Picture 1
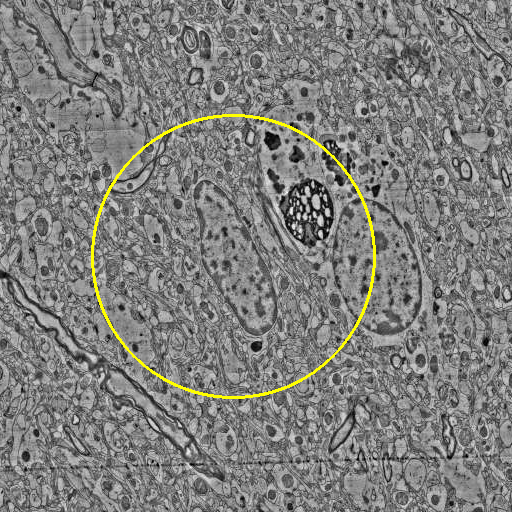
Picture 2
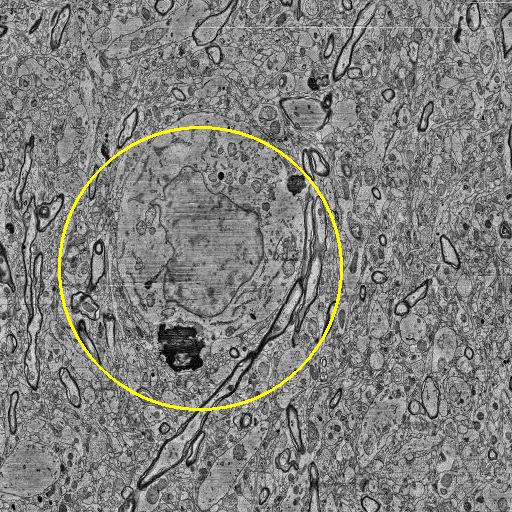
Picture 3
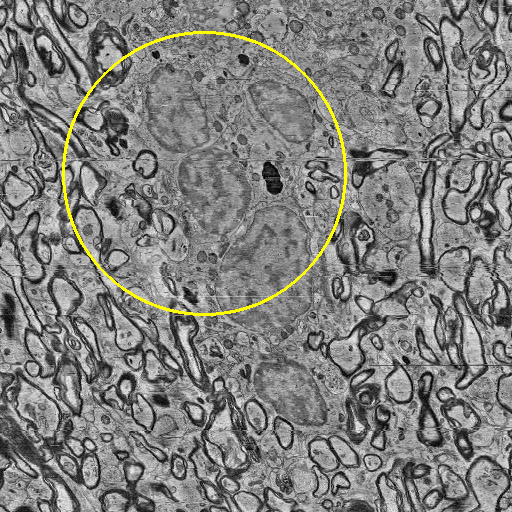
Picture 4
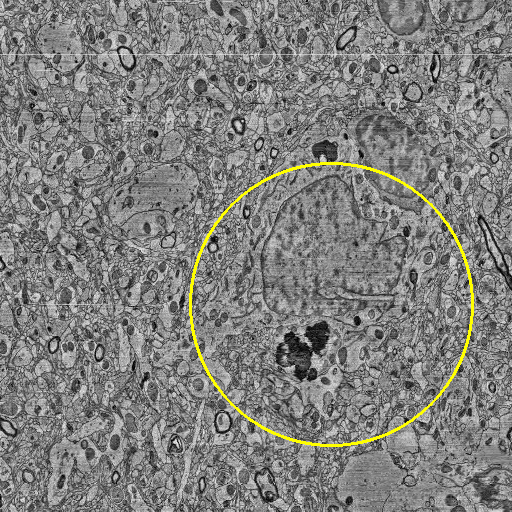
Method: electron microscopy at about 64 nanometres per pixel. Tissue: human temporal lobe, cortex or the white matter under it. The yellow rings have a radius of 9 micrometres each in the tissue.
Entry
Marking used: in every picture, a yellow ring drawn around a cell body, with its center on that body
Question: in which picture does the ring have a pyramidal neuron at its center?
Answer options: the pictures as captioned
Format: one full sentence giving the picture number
Picture 2 is where the ring's center falls on the requested cell.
